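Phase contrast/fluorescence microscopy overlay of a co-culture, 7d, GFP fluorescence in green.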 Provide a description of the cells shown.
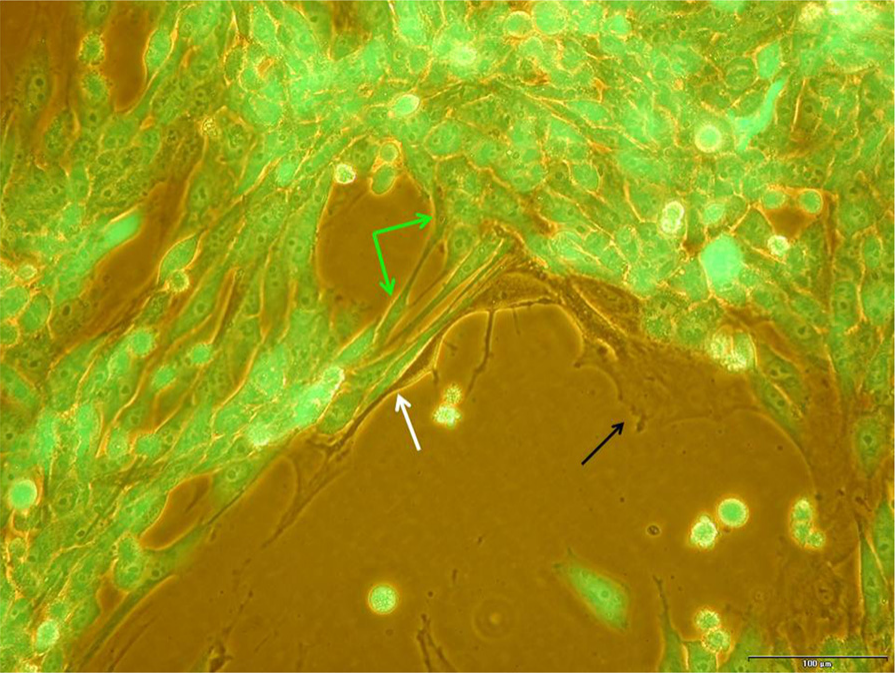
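The cells are polygonal to somewhat elongated, with round nuclei and small nucleoli, and a few rounded, bright cells sit on top of or beside the sheet. Along the edge of the sheet, long, thin spindle-shaped cells run in a parallel bundle.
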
